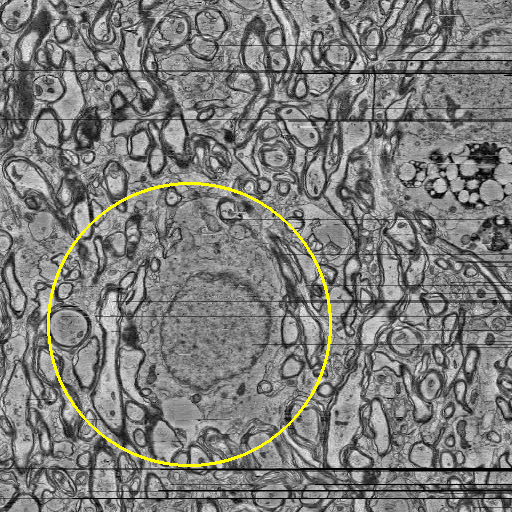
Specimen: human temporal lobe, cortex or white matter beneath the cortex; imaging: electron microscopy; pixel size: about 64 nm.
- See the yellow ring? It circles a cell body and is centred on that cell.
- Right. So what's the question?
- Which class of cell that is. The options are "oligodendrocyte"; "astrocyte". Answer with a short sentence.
The centre of the ring holds an astrocyte.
